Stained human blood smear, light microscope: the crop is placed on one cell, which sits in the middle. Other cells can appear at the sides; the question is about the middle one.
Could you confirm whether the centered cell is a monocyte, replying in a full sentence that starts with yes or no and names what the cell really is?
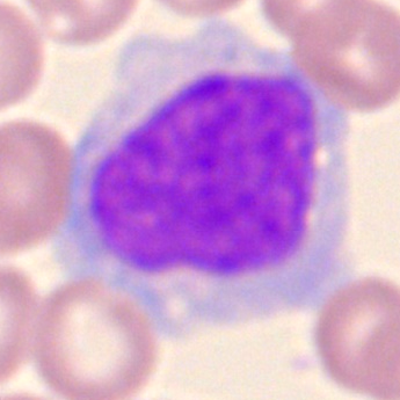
Yes, it is a monocyte that occupies the centre of the crop.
